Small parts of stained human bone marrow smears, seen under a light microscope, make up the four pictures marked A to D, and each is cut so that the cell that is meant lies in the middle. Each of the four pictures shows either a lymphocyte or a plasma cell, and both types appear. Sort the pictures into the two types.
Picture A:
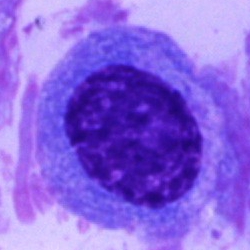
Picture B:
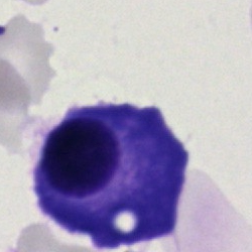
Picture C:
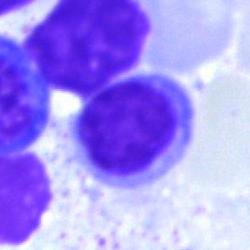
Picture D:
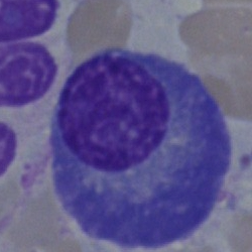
A: plasma cell
B: plasma cell
C: lymphocyte
D: plasma cell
